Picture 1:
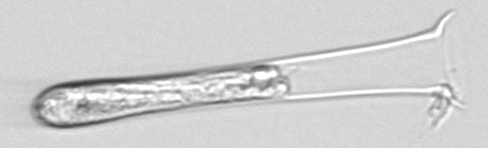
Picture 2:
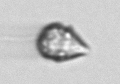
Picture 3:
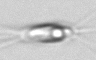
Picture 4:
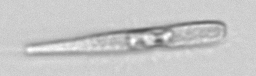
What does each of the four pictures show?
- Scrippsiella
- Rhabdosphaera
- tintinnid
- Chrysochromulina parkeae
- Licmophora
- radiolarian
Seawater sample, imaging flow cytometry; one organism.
1. tintinnid
2. Scrippsiella
3. Chrysochromulina parkeae
4. Licmophora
